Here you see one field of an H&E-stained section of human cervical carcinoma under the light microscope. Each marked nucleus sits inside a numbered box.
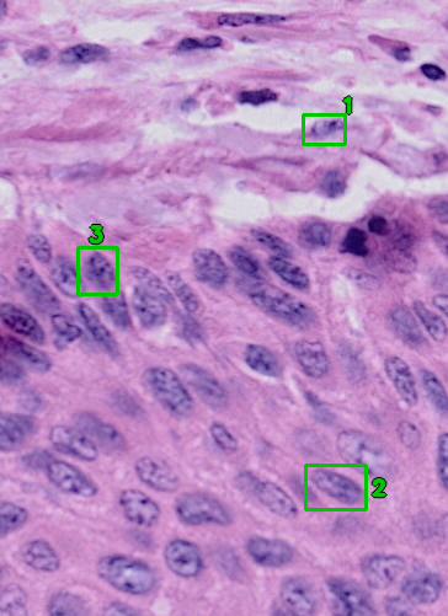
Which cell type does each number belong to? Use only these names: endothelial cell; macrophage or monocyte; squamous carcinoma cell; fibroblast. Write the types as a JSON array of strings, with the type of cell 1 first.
["fibroblast", "squamous carcinoma cell", "squamous carcinoma cell"]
